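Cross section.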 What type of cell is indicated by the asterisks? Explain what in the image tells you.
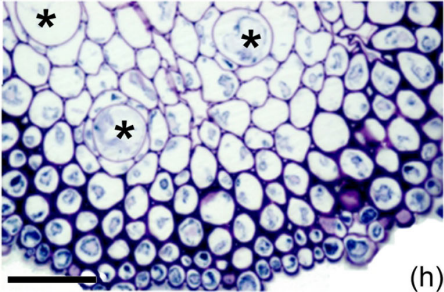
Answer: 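Each asterisk sits in a cell much larger than the surrounding parenchyma cells. These large cells are rounded with pale contents and a distinct wall.
Answer: secretory cells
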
